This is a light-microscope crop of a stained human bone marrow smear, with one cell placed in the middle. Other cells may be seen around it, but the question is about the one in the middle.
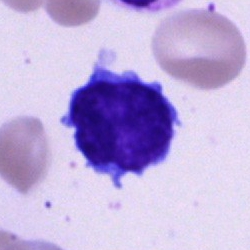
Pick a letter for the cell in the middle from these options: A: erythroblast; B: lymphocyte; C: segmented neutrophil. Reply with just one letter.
B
